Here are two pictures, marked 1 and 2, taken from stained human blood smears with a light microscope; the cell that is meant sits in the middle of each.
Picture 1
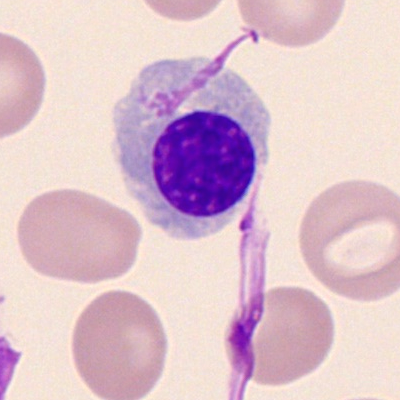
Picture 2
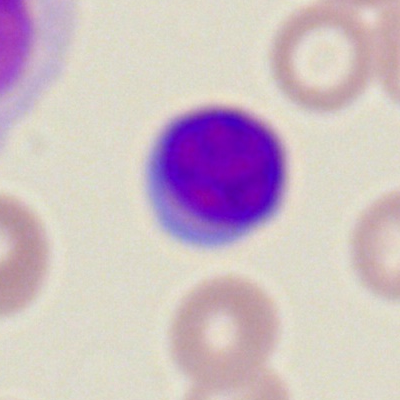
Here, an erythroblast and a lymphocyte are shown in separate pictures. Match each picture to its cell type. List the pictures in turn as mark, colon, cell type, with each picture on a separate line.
1: erythroblast
2: lymphocyte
